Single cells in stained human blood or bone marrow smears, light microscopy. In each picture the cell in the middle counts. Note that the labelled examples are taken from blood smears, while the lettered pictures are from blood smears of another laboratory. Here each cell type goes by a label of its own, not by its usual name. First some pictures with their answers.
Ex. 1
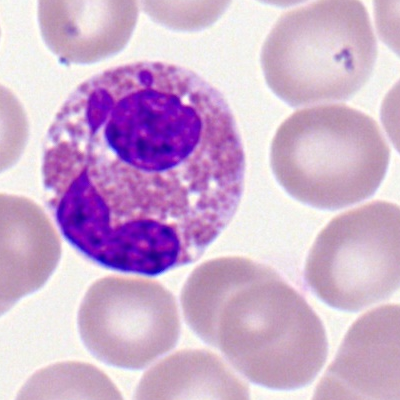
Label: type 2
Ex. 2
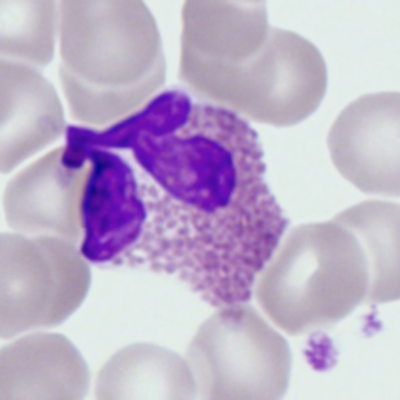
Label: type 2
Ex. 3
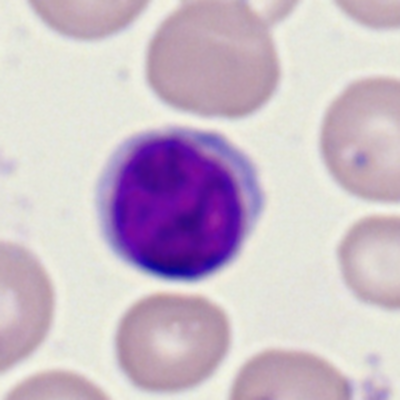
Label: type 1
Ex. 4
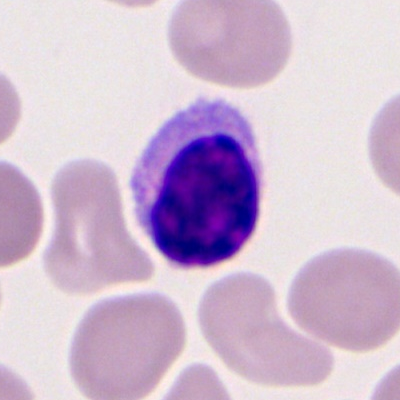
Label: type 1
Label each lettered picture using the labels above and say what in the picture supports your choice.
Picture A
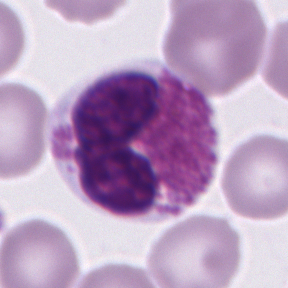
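Answer: type 2. The nucleus has two lobes, one above the other.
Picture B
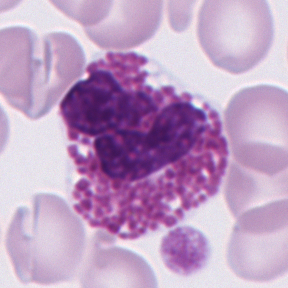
Answer: type 2. The nucleus has two lobes.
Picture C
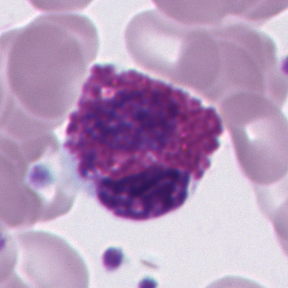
Answer: type 2. Coarse granules are packed densely over most of the cell.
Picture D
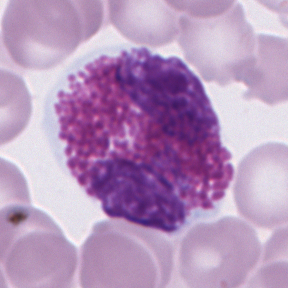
Answer: type 2. The nucleus has two lobes, one at the upper right and one along the lower edge.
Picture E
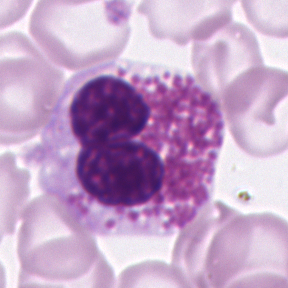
Answer: type 2. The granules lie most densely in the right half of the cell.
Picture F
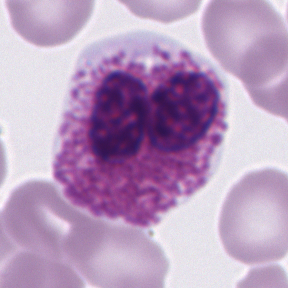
Answer: type 2. The nucleus has two lobes lying side by side.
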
